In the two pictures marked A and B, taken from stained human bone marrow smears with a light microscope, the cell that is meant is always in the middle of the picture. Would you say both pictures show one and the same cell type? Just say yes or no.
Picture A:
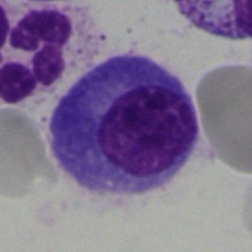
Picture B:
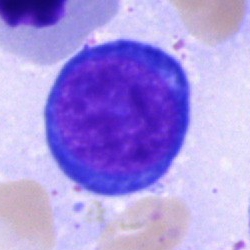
no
